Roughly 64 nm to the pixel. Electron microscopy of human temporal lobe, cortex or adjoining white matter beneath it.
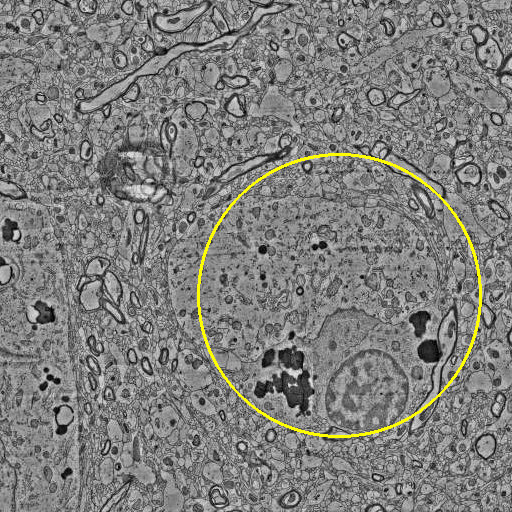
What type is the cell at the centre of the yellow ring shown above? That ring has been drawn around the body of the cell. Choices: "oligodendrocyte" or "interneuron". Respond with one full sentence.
My answer is that an oligodendrocyte lies at the centre of the yellow ring above.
